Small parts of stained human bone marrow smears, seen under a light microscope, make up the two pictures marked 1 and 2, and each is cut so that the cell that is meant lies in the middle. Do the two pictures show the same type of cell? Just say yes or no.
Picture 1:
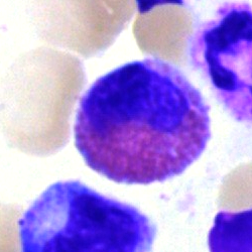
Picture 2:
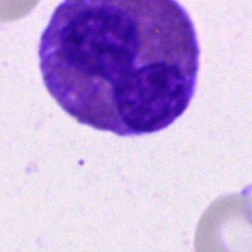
yes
